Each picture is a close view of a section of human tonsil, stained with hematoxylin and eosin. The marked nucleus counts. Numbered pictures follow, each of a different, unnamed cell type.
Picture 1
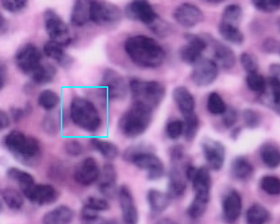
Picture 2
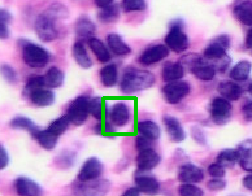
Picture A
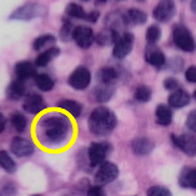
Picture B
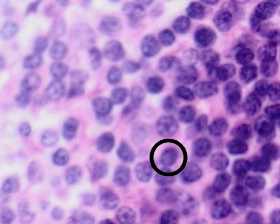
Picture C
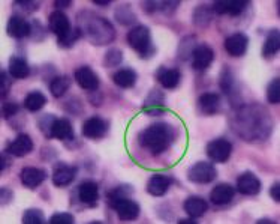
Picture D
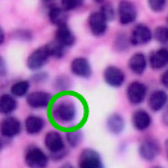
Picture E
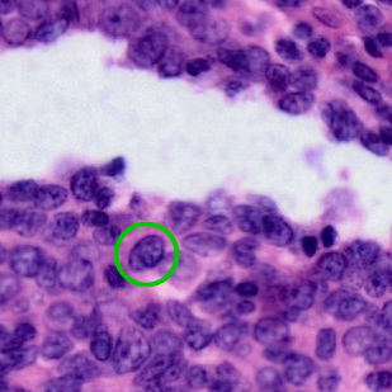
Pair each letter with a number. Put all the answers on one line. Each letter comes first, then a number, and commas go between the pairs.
A 1, B 2, C 1, D 2, E 1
